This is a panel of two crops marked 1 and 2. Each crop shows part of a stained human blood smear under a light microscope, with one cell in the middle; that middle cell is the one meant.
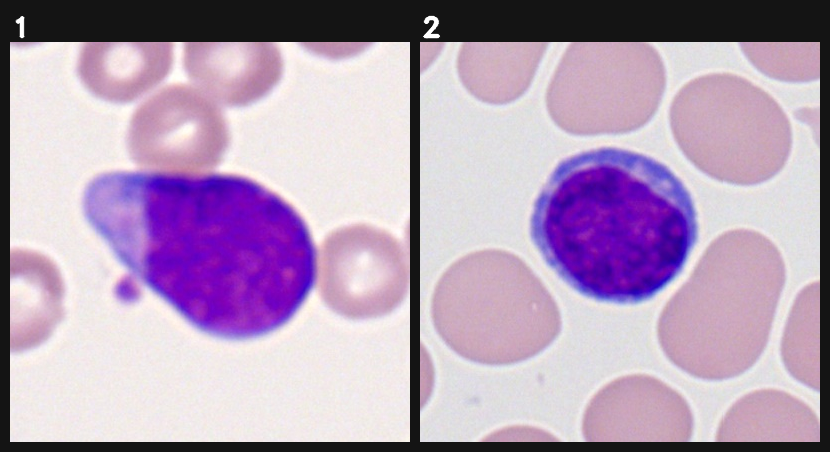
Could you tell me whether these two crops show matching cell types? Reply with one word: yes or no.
no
